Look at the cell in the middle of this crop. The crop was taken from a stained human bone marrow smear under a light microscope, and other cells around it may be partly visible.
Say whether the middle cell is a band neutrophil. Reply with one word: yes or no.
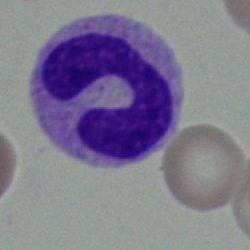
yes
